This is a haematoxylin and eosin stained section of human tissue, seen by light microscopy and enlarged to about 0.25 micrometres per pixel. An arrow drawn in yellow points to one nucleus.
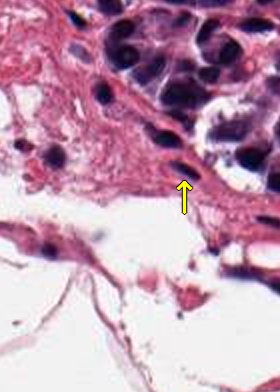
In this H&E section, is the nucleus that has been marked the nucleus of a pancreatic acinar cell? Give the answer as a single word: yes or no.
no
